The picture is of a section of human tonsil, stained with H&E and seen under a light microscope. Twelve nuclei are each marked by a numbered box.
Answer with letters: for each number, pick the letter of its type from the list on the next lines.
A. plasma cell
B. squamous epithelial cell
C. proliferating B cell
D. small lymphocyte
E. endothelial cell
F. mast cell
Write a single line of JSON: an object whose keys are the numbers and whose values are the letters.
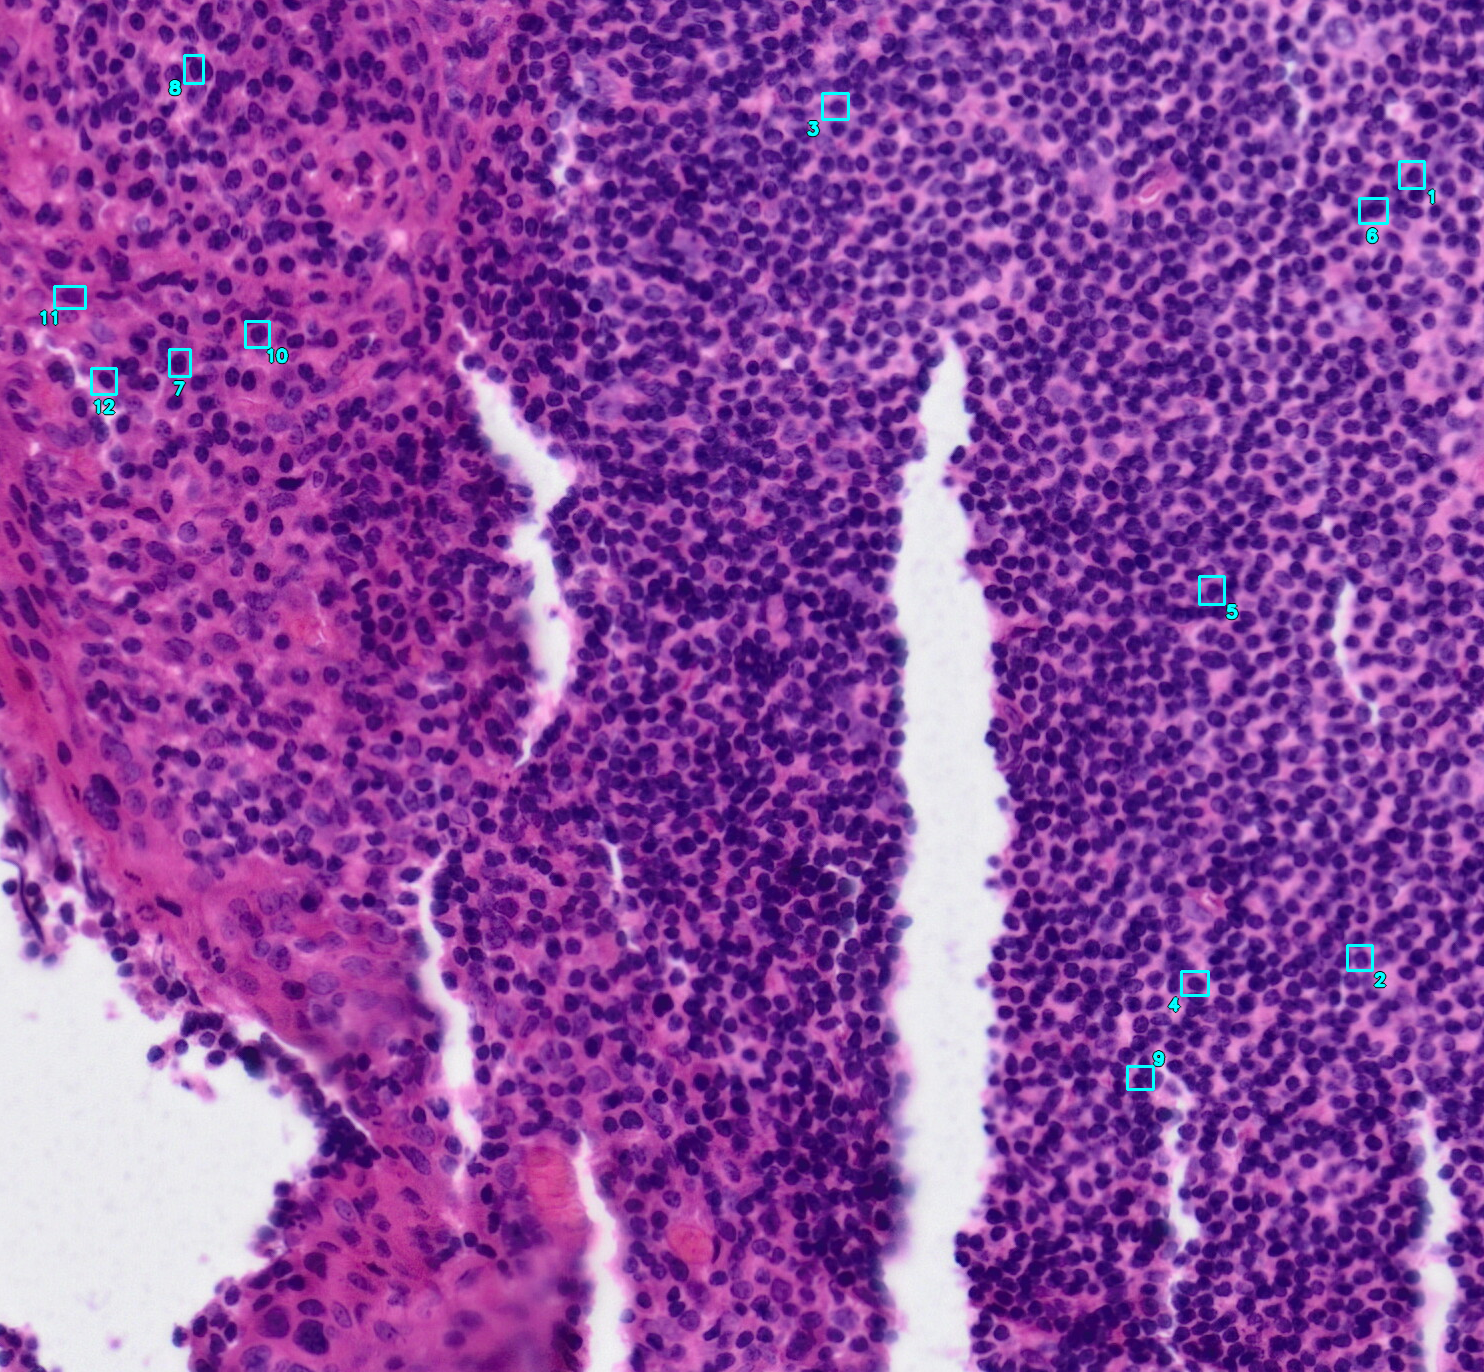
{"1": "D", "2": "D", "3": "D", "4": "D", "5": "D", "6": "D", "7": "A", "8": "A", "9": "D", "10": "A", "11": "B", "12": "A"}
